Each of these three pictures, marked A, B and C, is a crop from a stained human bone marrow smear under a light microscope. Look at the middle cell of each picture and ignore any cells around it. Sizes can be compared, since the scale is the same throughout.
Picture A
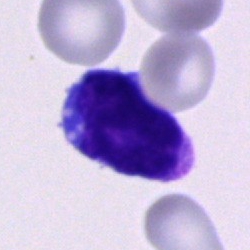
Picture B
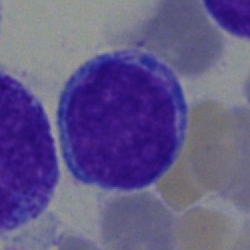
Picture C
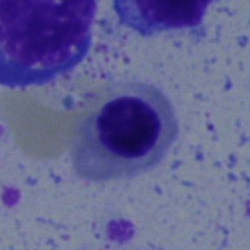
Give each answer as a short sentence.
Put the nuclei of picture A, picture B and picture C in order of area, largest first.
From the largest down, the order is B, A, C.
